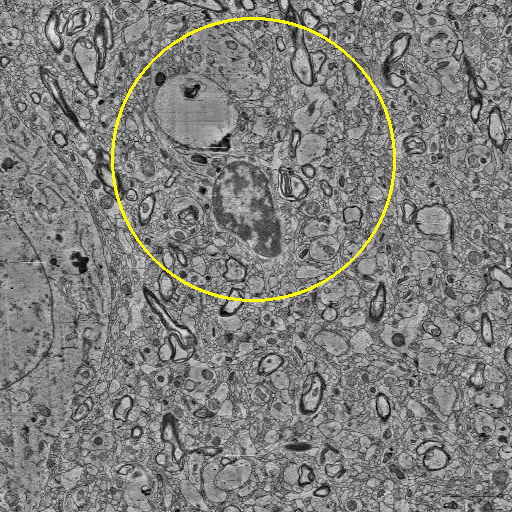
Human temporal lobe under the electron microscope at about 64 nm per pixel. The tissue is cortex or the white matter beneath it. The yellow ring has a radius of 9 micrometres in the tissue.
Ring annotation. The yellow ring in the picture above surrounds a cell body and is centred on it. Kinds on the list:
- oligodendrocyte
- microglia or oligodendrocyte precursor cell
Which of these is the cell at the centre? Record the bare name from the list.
microglia or oligodendrocyte precursor cell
